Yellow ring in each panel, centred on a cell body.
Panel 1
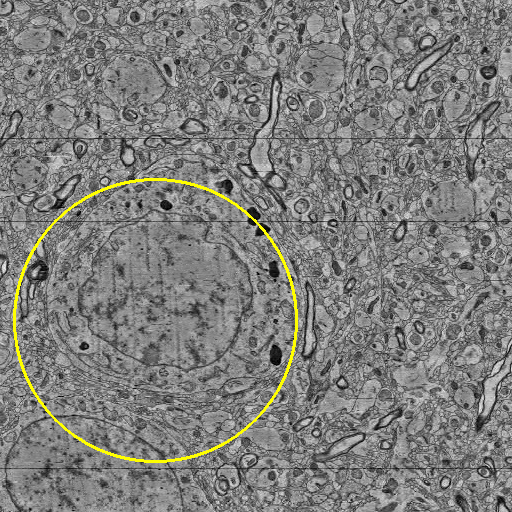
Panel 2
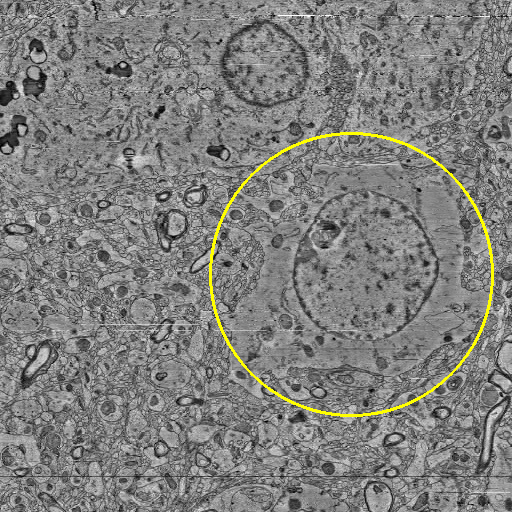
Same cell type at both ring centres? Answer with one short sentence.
No, the two cells are of two types.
